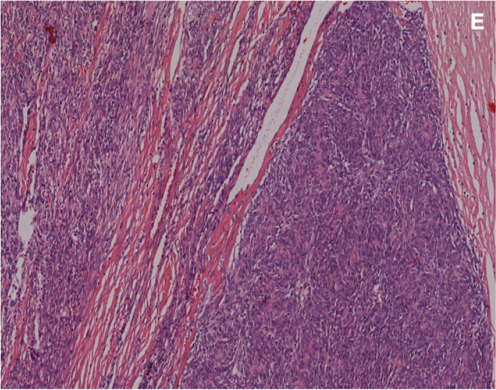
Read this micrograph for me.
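A dense, lobulated cellular tumour in which lobes of tightly packed cells are split by fibrous septa. The septa appear as pink bands of collagen running diagonally across the field, with narrow clefts or thin-walled spaces beside them. Within the lobes the cells are crowded, with small oval-to-elongated, dark purple nuclei and little cytoplasm, arranged in sheets and vague short fascicles. There are no obvious gland spaces. No marked nuclear enlargement or pleomorphism is evident at this magnification.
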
